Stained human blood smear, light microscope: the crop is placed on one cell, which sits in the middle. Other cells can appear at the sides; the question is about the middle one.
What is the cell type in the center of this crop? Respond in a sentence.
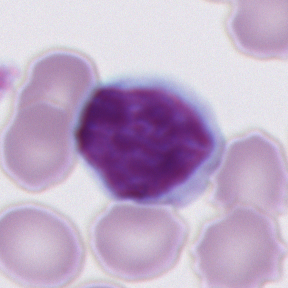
In short, the cell at the center is a typical lymphocyte.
